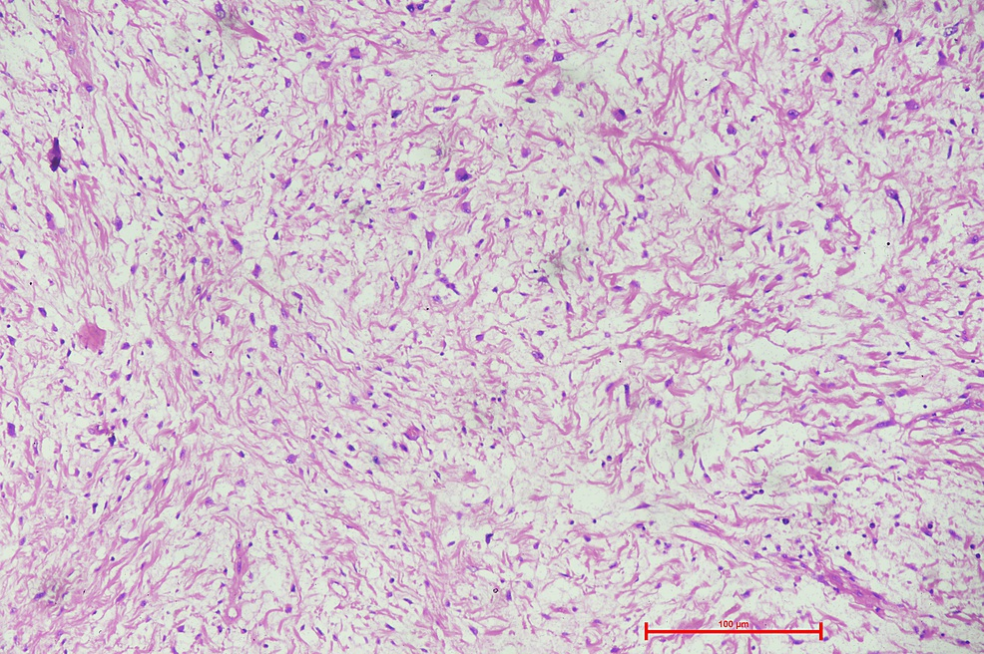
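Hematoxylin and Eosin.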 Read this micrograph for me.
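Loosely arranged spindle cells lie scattered singly through a pale, loose stroma made of wavy pink collagen fibres with many clear spaces between them. The cells are widely separated and do not form sheets or bundles, though fibres run in vaguely swirling, criss-crossing directions. Their nuclei stain purple and are mostly elongated and tapering, some plump, angular or stellate, and they vary visibly in size and shape from cell to cell. A few larger, more darkly stained nuclei stand out among the smaller ones. Cytoplasm is scant and hard to separate from the surrounding pink fibres.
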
